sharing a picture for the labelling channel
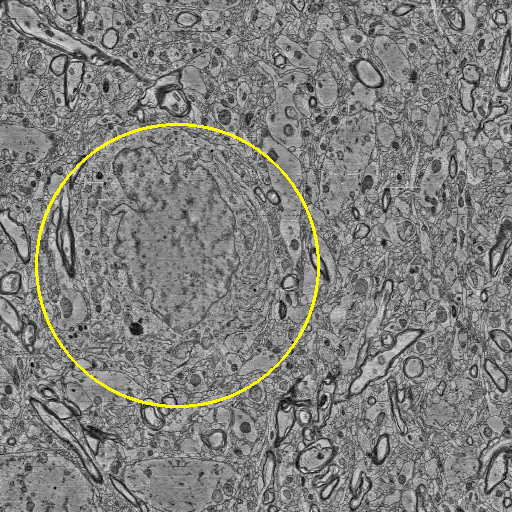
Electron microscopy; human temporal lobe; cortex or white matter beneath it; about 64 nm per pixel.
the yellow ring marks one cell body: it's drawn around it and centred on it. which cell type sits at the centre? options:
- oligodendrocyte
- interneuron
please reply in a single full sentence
In the picture, the cell at the ring's centre is an interneuron, going by the list.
